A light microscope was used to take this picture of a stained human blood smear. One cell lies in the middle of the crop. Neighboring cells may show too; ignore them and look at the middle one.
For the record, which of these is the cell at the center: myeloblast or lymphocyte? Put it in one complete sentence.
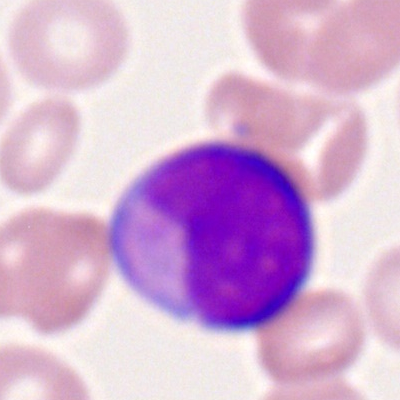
On this slide crop, the central cell is a myeloblast.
